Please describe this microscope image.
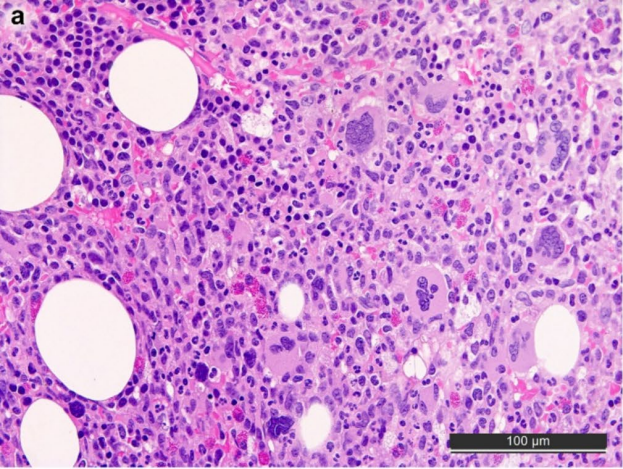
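This is hypercellular bone marrow in which hematopoietic cells fill nearly all the space between a few round fat vacuoles, with many myeloid cells at various stages of maturation, some carrying bright red cytoplasmic granules. Numerous megakaryocytes are scattered through the field; they are large cells with abundant pink cytoplasm, and their nuclei vary from lobed and pale to smaller and dark, pointing to atypia.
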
